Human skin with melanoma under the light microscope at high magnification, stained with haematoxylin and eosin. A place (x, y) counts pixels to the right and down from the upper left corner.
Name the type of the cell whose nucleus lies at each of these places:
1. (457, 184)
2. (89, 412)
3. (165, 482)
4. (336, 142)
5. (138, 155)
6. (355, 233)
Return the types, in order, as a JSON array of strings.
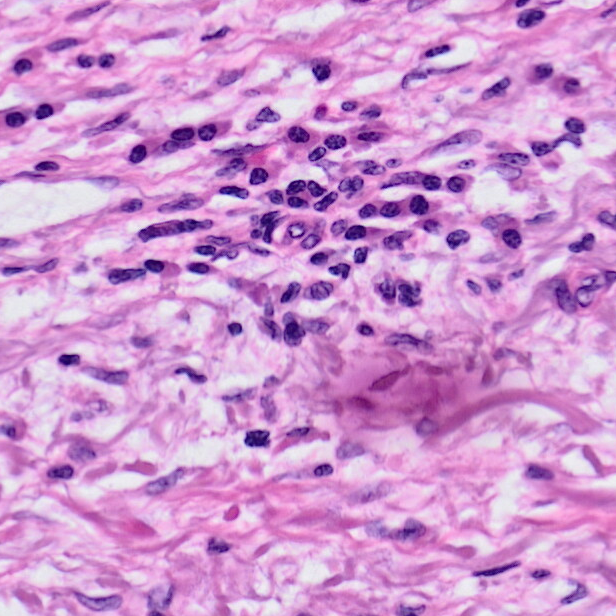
["plasma cell", "fibroblast or myofibroblast", "fibroblast or myofibroblast", "plasma cell", "plasma cell", "plasma cell"]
